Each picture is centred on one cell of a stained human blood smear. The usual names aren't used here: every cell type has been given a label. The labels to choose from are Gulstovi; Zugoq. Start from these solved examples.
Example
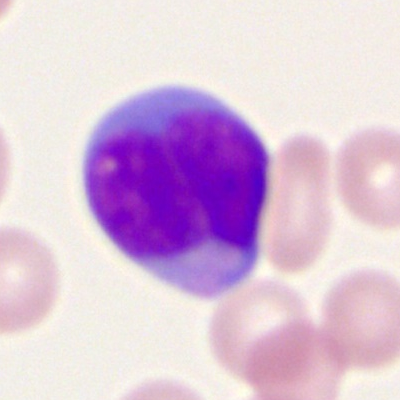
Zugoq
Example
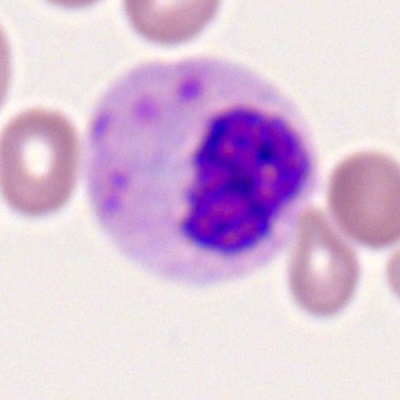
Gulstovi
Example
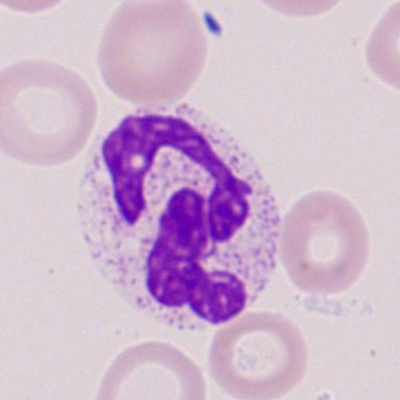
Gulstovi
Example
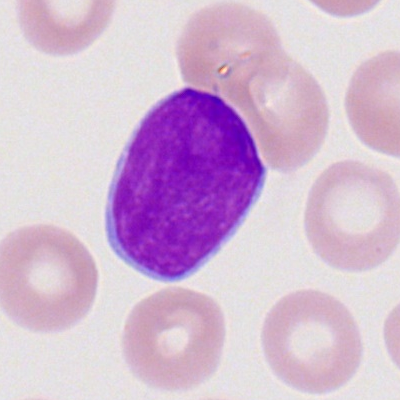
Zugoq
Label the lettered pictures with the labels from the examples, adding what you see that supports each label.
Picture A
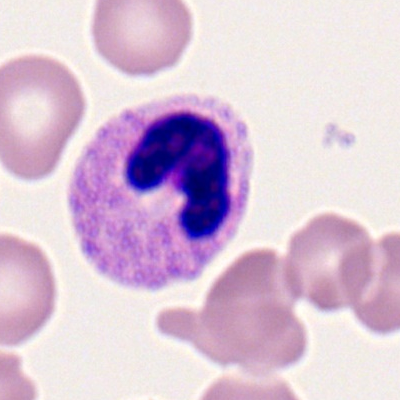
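Gulstovi. Evidence: The cytoplasm is plentiful and pale pink-lilac.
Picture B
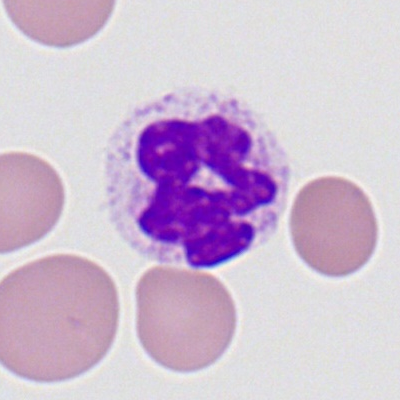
Gulstovi. Evidence: The nucleus is divided into several lobes joined together.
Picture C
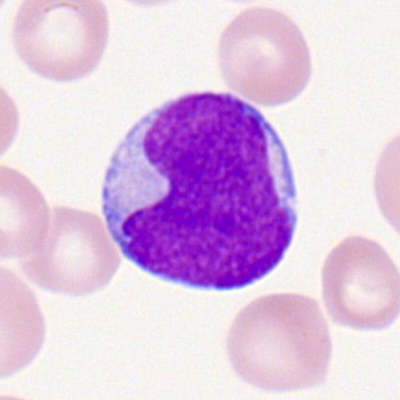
Zugoq. Evidence: The nucleus fills most of the cell.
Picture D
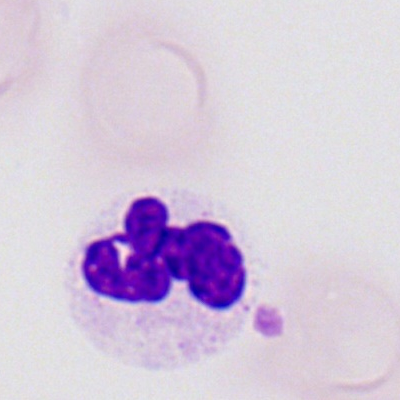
Gulstovi. Evidence: The cytoplasm is plentiful and pale pinkish-lilac.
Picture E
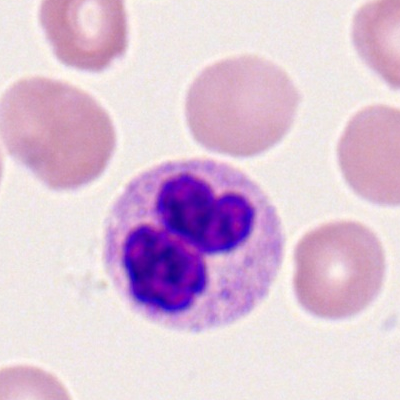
Gulstovi. Evidence: The nucleus is divided into several separate lobes.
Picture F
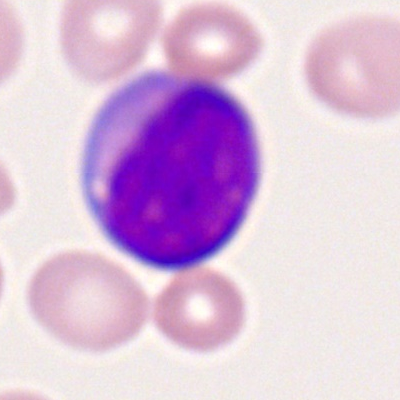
Zugoq. Evidence: The nucleus fills most of the cell and sits toward the right.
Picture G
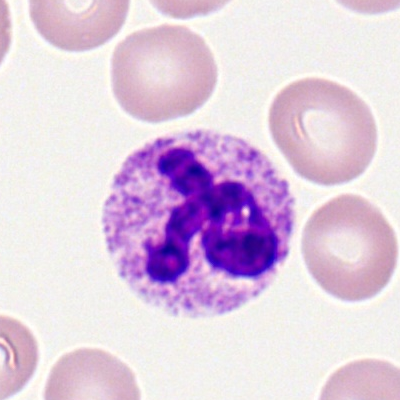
Gulstovi. Evidence: The cytoplasm is abundant and pale pinkish-lilac.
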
